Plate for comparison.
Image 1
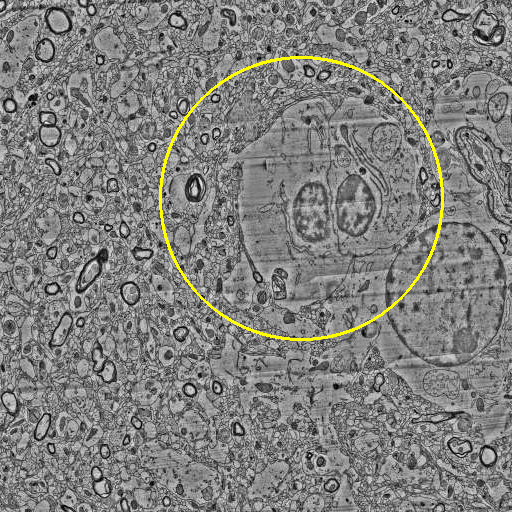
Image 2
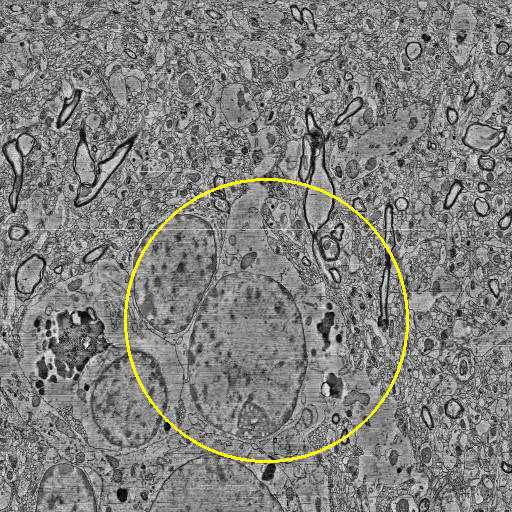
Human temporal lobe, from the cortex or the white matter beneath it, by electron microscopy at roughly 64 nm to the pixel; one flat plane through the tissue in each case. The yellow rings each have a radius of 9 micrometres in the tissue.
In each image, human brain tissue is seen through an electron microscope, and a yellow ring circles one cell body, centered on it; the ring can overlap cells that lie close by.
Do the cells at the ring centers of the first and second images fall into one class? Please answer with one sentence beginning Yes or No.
Yes, the first and second images show a single class of cell at the ring centers.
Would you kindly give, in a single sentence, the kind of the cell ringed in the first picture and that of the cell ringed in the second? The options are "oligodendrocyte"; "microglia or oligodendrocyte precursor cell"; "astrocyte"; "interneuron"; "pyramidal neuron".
Each of the two rings is centred on an astrocyte.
